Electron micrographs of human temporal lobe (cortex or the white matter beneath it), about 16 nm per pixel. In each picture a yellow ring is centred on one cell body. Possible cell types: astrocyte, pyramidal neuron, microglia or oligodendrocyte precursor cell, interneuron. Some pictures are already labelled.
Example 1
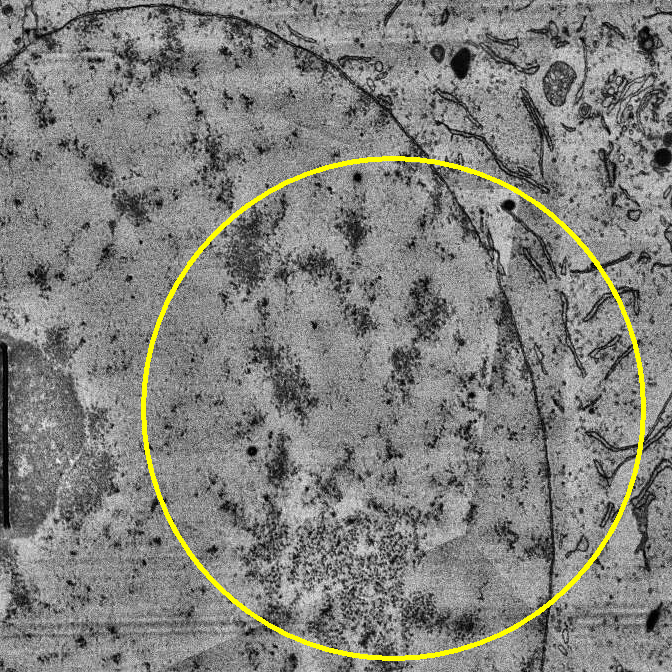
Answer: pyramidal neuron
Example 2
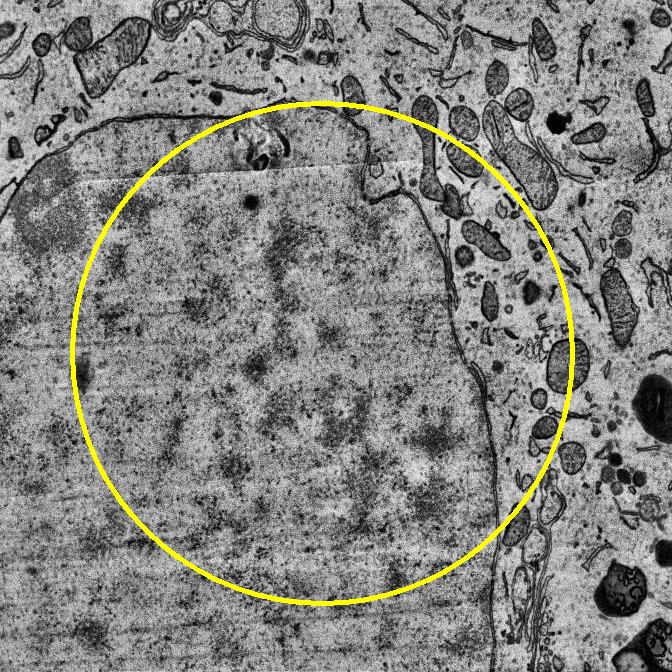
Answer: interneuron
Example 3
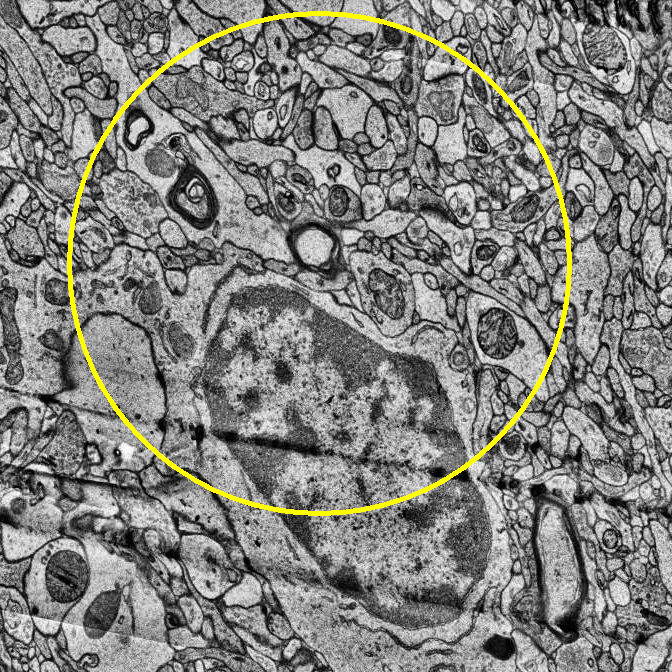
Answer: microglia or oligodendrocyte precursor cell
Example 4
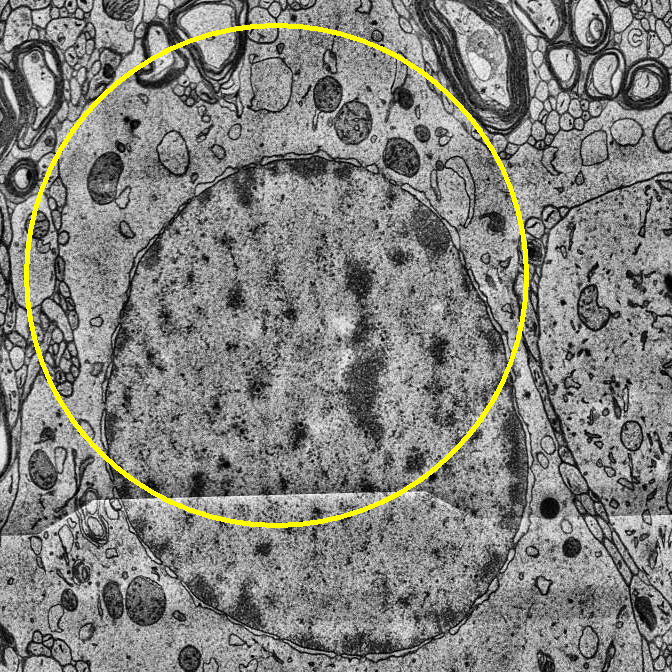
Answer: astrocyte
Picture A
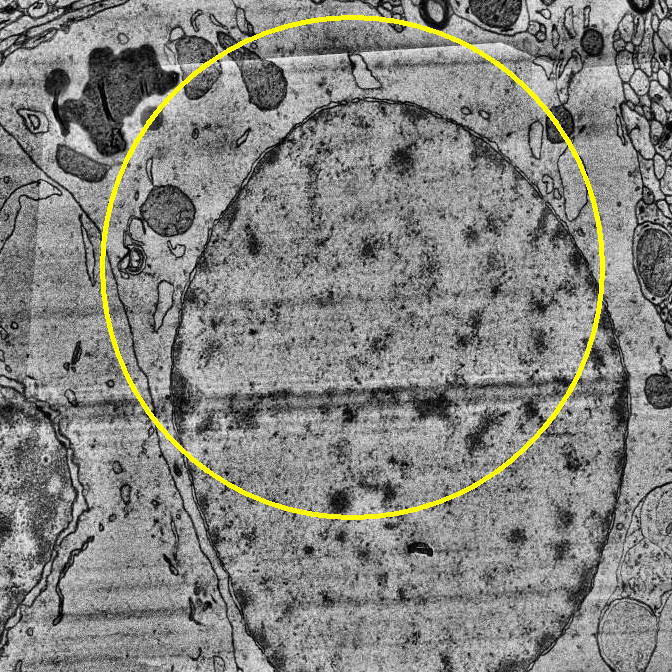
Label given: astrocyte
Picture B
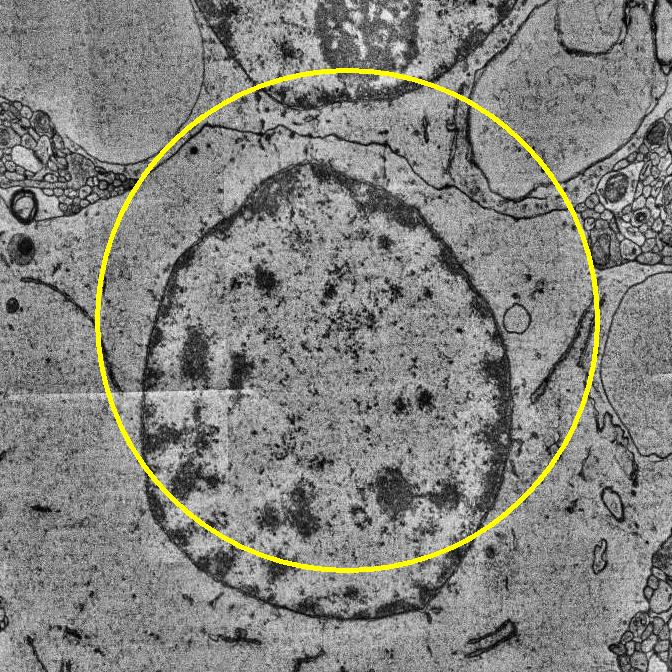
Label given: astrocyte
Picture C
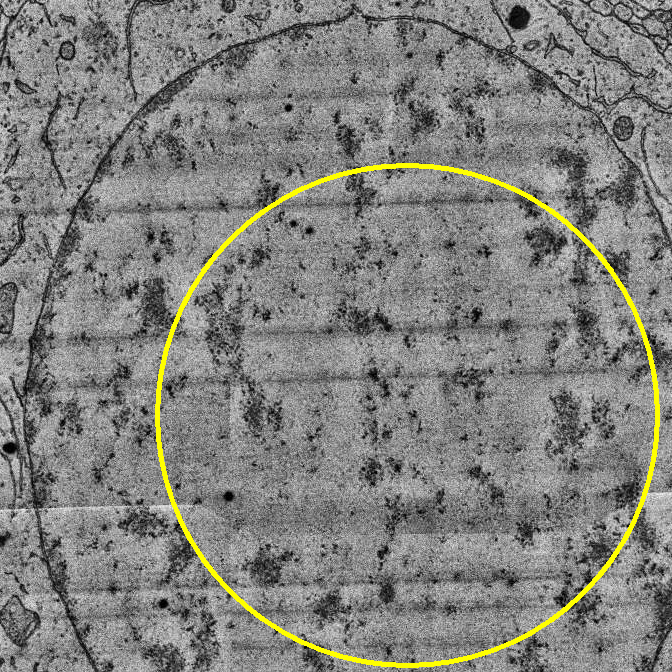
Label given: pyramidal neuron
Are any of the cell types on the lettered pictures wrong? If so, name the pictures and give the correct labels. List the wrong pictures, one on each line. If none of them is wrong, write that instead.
All labels are correct.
